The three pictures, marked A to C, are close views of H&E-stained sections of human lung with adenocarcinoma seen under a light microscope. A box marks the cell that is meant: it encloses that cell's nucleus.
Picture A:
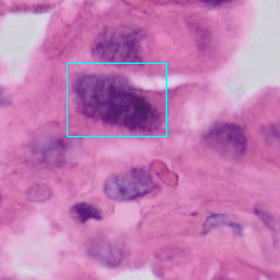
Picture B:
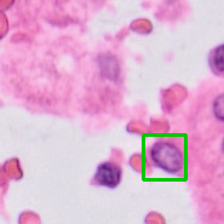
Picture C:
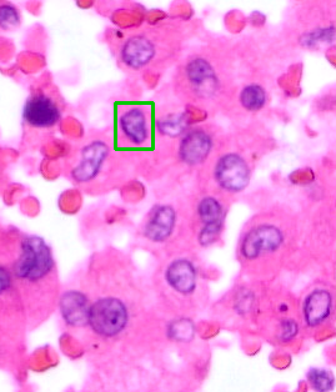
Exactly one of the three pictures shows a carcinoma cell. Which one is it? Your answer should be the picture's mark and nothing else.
A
